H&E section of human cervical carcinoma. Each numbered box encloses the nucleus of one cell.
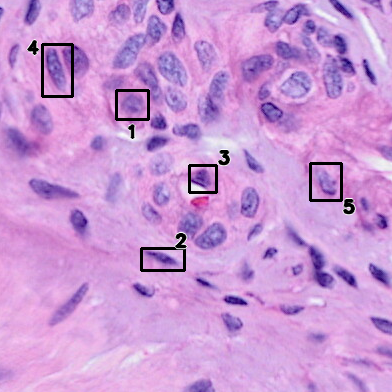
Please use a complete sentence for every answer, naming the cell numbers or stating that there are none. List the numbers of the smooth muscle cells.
The cells to which the numbers 1, 4 and 5 refer are smooth muscle cells.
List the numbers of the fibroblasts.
Cell 2 is a fibroblast, and it is the only numbered cell that is.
